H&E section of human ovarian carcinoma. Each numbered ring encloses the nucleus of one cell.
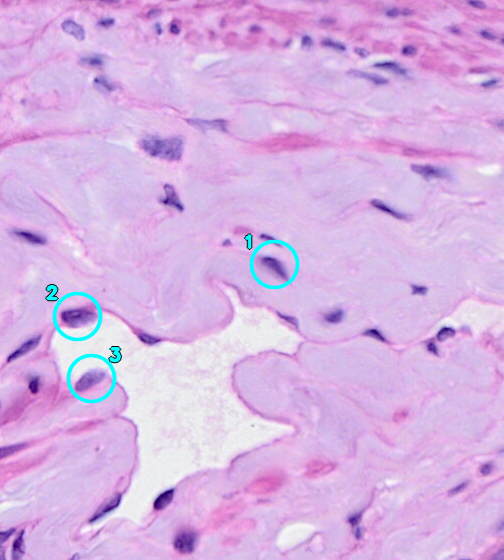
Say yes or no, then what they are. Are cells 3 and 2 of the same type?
Yes, cells 3 and 2 are alike in being endothelial cells.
